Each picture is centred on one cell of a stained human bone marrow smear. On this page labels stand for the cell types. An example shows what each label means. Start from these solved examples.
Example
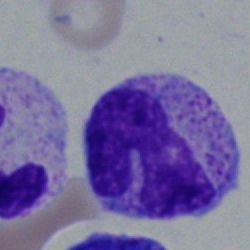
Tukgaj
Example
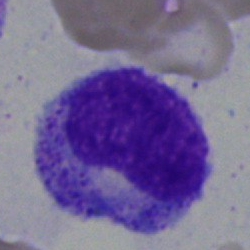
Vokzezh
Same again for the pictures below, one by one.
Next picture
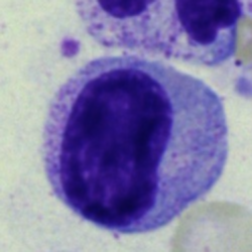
Vokzezh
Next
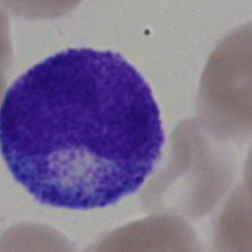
Vokzezh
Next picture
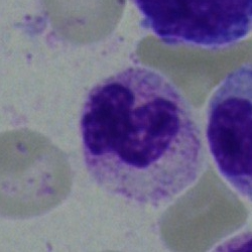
Tukgaj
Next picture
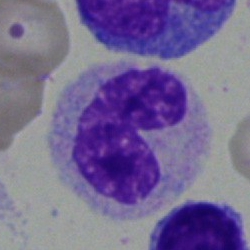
Tukgaj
